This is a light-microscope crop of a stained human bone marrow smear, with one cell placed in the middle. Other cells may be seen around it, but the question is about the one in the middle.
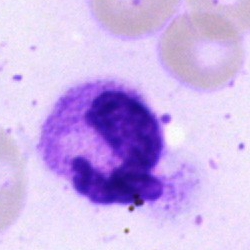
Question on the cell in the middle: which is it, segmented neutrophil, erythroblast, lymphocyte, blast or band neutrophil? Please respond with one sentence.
Seen at the centre of the crop is a segmented neutrophil.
